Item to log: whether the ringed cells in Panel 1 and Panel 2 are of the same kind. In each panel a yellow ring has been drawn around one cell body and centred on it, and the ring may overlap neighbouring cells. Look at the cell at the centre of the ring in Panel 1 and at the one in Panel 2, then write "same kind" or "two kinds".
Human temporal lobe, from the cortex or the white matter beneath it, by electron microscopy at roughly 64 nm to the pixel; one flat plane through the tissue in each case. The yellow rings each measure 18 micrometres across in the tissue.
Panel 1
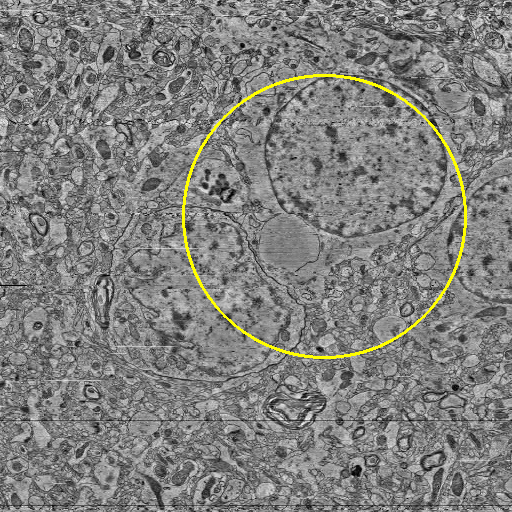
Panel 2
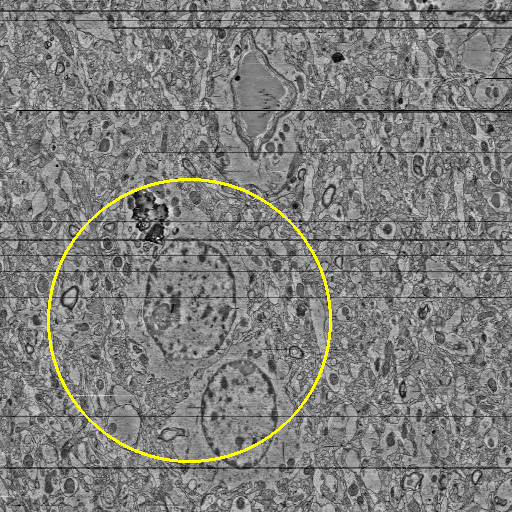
same kind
